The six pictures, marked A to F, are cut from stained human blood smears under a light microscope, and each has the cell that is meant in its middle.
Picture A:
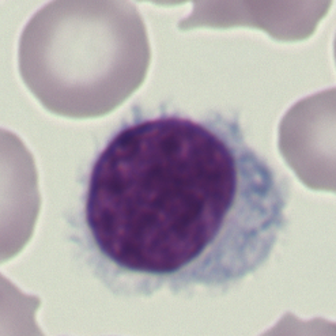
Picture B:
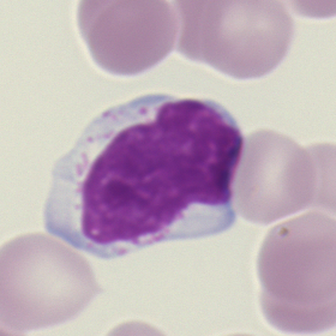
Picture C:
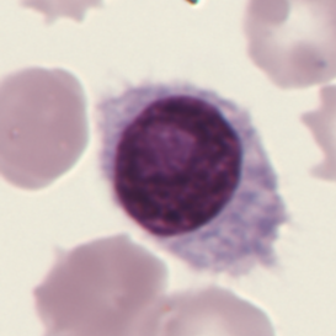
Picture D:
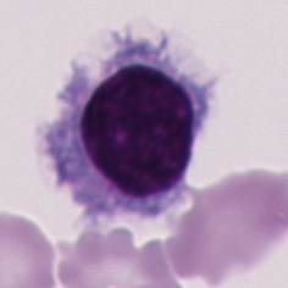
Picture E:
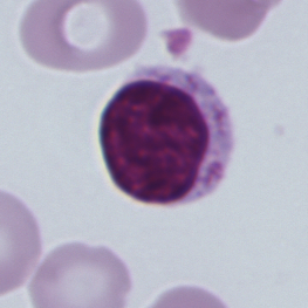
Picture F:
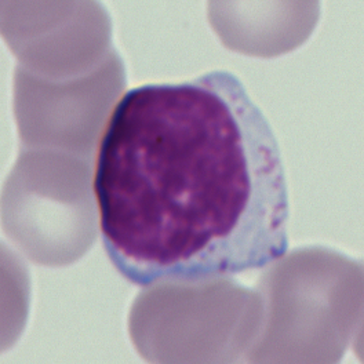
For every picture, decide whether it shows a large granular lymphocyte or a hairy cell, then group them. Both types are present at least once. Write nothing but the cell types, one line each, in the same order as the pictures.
hairy cell
large granular lymphocyte
hairy cell
hairy cell
large granular lymphocyte
large granular lymphocyte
